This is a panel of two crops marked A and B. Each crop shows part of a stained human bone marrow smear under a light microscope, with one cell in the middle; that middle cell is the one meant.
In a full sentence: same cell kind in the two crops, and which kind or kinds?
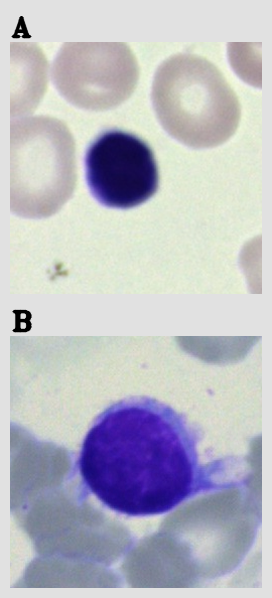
Yes, the middle cells in both crops are indeed lymphocytes.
